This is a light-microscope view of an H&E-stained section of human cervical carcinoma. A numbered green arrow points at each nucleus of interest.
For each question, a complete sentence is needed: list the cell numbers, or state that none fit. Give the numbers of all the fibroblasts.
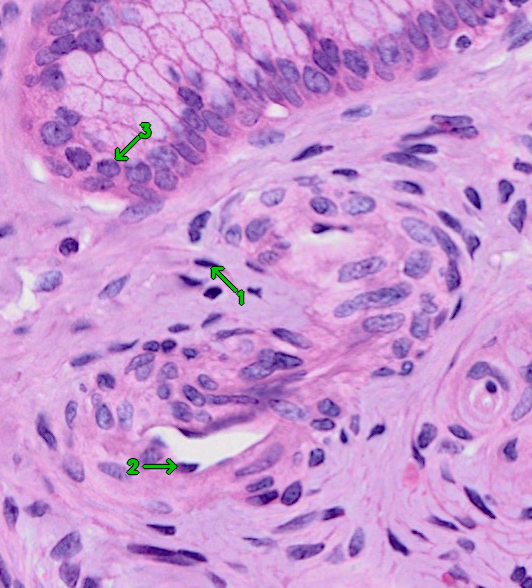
Cell 1 is a fibroblast; the remaining numbered cells are not.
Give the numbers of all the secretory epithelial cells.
Just one numbered cell is a secretory epithelial cell, and that cell is number 3.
